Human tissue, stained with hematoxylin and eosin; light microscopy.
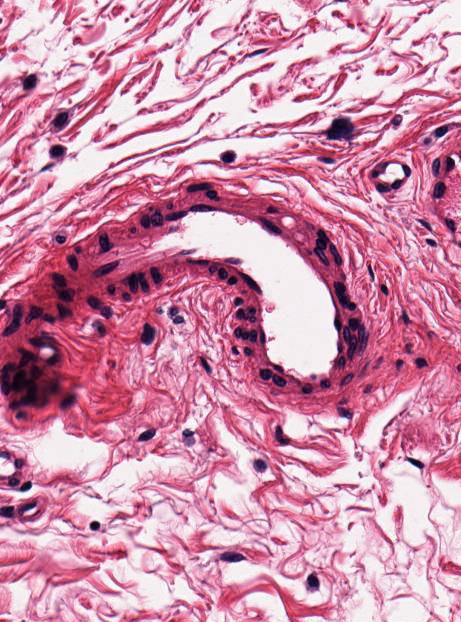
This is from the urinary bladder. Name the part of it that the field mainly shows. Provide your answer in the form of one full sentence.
The part of the tissue seen in this section is loose connective tissue.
